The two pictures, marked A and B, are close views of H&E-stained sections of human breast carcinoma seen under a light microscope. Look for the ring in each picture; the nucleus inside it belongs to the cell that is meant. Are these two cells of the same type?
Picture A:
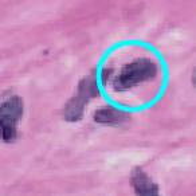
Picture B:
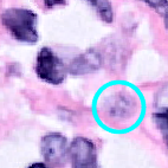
no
